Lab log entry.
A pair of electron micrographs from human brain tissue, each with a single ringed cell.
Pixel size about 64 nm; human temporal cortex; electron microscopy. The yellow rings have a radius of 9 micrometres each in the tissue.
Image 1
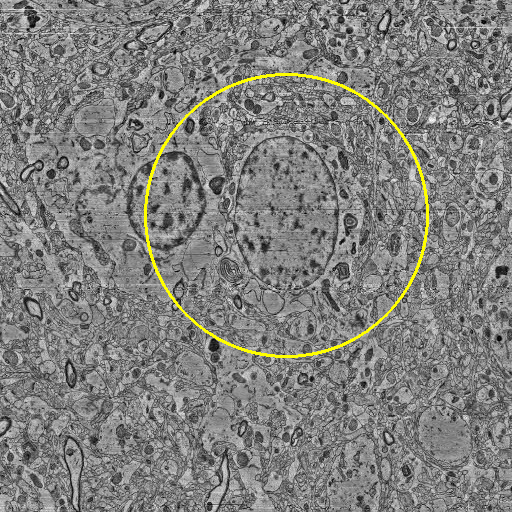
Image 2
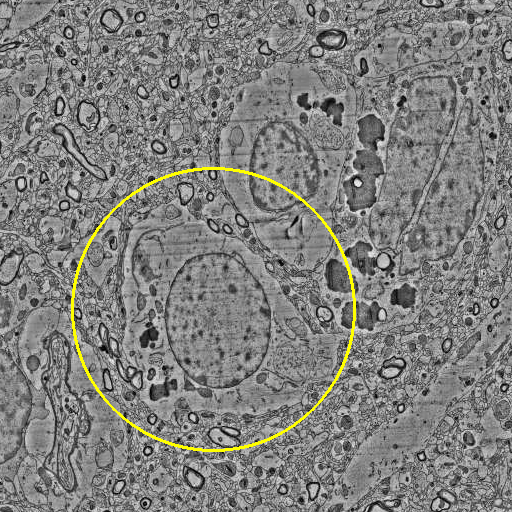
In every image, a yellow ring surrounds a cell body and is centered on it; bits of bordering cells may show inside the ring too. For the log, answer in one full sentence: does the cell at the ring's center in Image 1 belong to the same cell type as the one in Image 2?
Yes, the cells at the ring centers in Image 1 and Image 2 share one type.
